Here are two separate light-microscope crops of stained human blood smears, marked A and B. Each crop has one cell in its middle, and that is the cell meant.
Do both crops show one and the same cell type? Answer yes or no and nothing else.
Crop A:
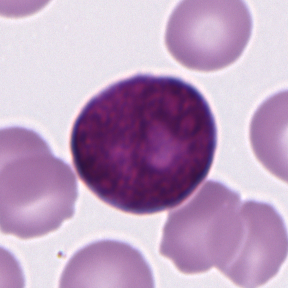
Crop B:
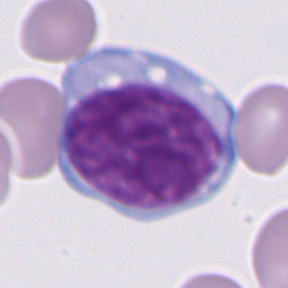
yes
